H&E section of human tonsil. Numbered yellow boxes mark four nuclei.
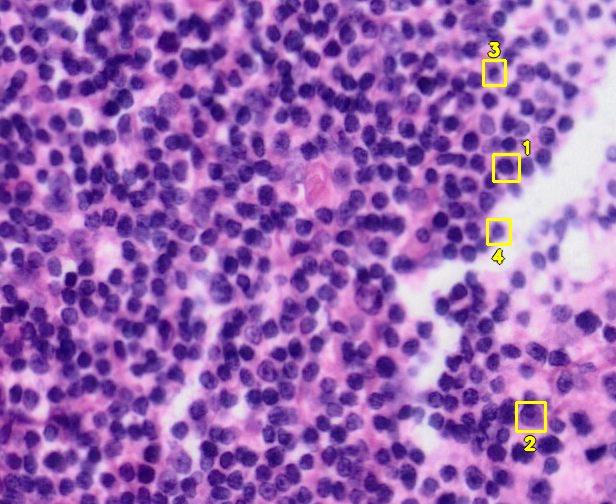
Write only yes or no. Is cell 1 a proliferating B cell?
no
